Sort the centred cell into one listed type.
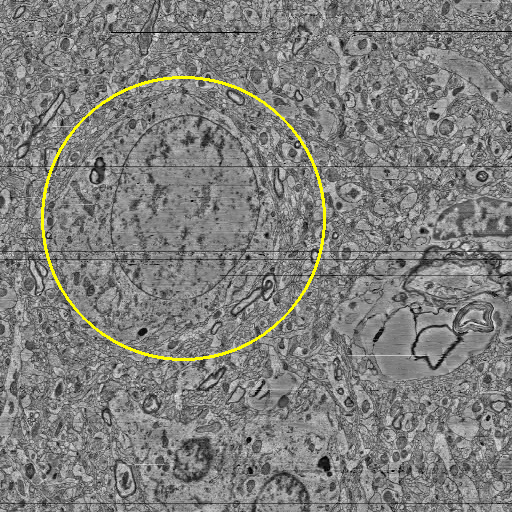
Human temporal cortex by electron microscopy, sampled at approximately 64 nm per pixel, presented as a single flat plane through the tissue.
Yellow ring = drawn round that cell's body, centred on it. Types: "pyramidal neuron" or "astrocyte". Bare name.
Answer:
pyramidal neuron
